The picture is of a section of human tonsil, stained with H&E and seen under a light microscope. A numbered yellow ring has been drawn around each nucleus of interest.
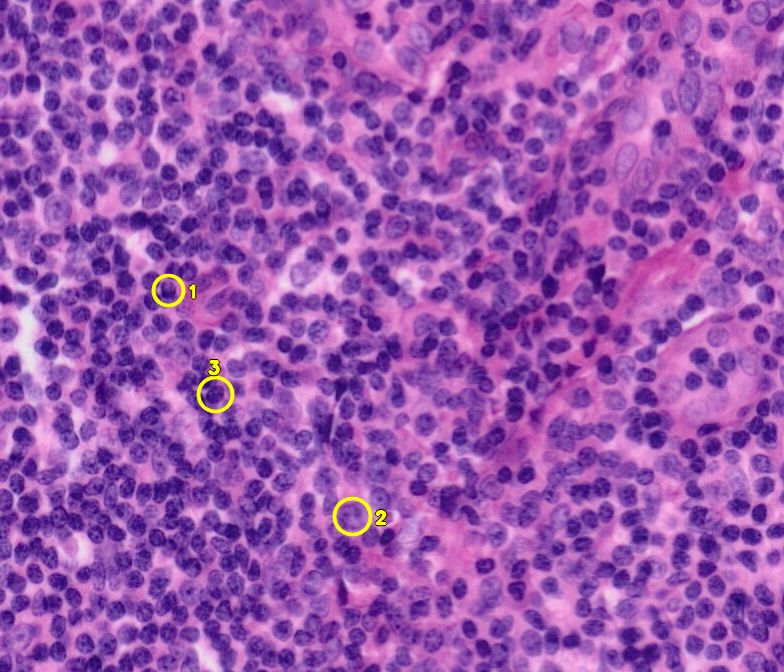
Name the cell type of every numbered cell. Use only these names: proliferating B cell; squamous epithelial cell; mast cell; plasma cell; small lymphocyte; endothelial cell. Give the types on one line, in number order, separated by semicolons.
small lymphocyte; proliferating B cell; small lymphocyte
